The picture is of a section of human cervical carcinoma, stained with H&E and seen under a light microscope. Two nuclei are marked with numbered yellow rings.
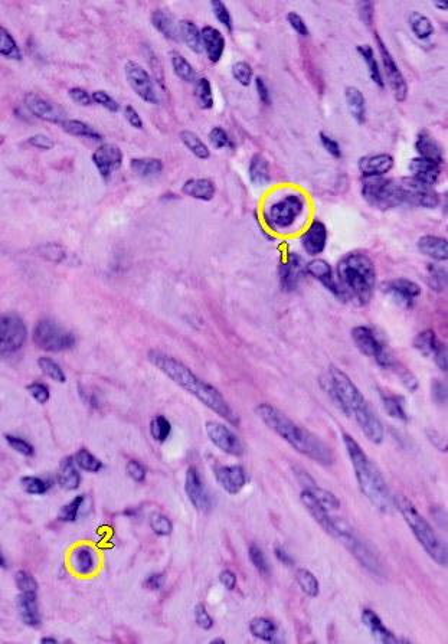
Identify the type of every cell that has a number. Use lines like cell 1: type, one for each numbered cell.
cell 1: lymphocyte
cell 2: smooth muscle cell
